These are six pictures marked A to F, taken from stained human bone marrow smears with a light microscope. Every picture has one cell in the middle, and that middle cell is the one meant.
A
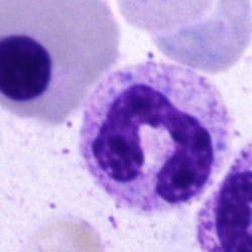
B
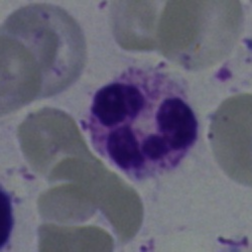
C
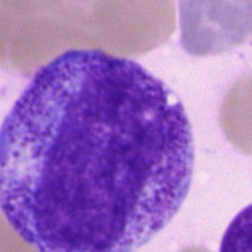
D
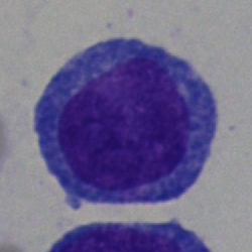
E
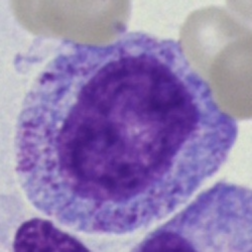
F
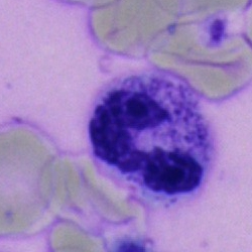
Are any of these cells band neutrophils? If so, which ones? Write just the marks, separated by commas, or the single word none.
A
